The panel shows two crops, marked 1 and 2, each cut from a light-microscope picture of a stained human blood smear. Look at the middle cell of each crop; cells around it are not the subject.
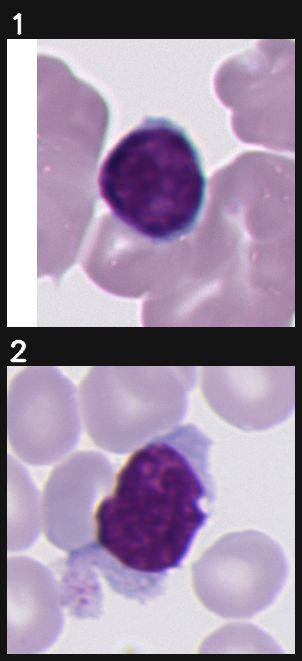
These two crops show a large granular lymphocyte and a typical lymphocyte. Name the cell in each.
1: typical lymphocyte
2: large granular lymphocyte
